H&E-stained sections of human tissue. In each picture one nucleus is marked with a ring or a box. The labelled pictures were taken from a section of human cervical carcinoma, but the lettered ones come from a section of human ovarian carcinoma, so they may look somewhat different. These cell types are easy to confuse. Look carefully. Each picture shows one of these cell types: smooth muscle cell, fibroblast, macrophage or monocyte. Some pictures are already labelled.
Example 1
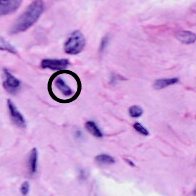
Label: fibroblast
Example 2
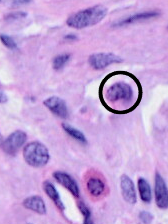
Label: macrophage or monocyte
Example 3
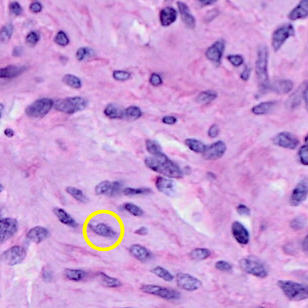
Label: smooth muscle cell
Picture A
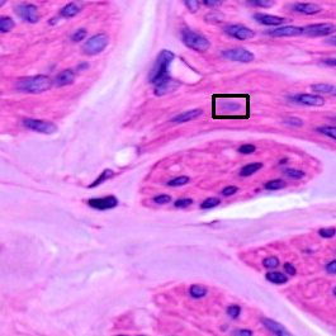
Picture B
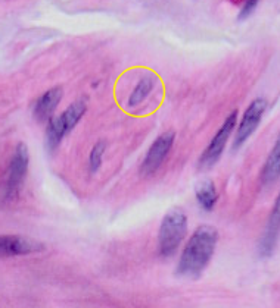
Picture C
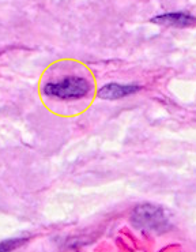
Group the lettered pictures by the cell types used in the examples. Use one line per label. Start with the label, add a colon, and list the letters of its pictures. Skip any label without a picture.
smooth muscle cell: A, B
macrophage or monocyte: C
